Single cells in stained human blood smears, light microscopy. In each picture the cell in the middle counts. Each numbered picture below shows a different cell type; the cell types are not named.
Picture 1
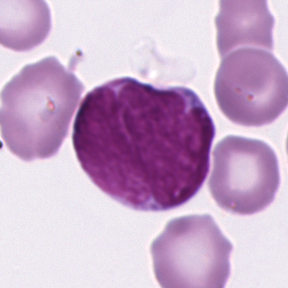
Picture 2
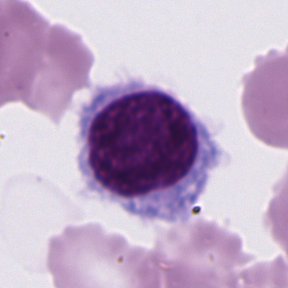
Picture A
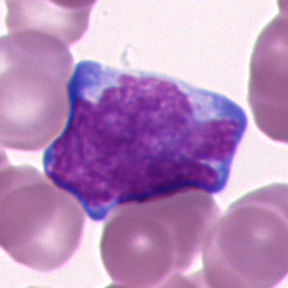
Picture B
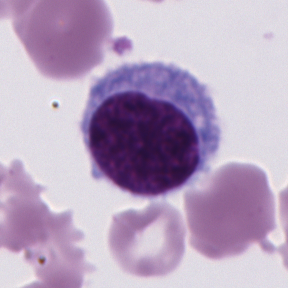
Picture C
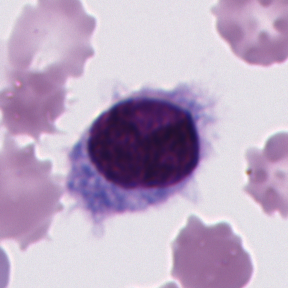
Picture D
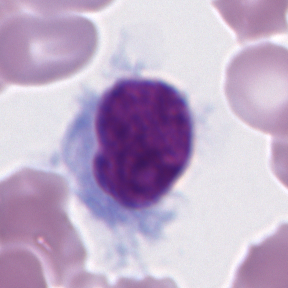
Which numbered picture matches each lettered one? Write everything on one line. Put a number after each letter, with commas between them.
A 1, B 2, C 2, D 2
